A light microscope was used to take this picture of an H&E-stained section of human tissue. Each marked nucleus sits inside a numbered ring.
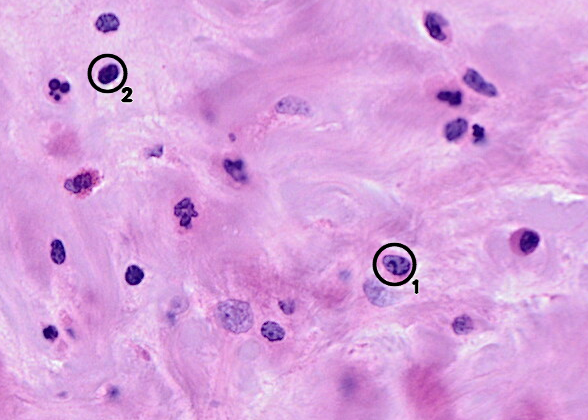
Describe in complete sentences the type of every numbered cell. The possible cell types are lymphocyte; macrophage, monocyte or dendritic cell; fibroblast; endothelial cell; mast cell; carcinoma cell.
Cell 1 is a mast cell and cell 2 is a lymphocyte.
